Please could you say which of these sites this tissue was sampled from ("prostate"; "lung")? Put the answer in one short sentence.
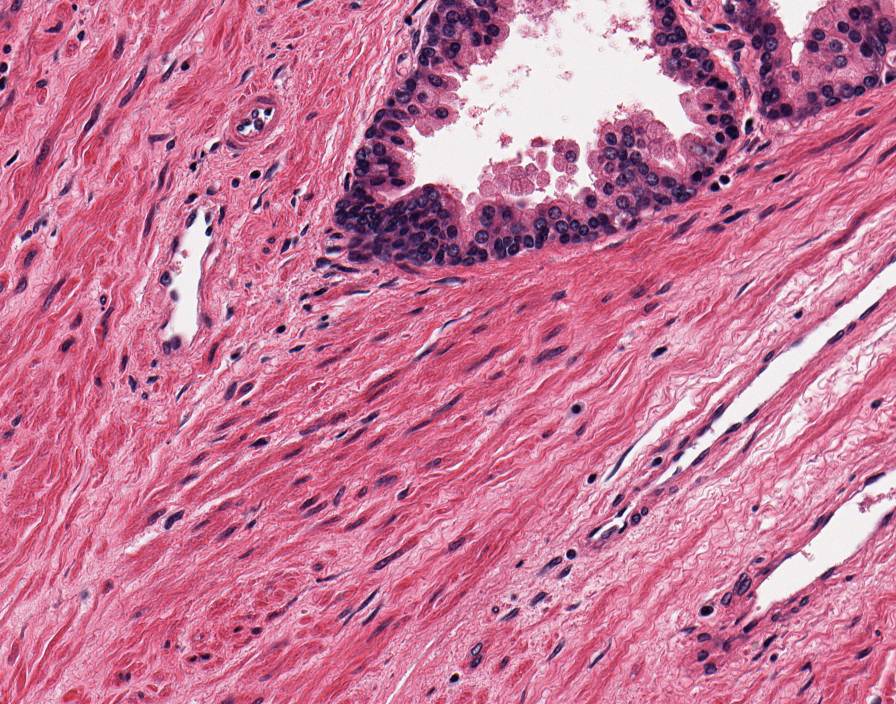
The site this tissue was sampled from is the prostate.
